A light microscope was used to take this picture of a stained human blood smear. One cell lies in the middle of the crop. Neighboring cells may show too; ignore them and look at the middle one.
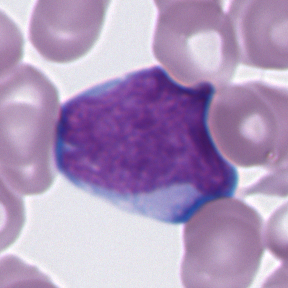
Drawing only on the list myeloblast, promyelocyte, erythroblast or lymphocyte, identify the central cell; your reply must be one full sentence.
The cell in the exact centre of the crop is a myeloblast.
